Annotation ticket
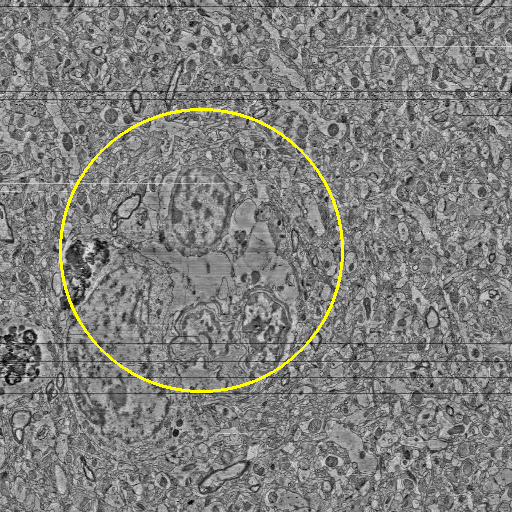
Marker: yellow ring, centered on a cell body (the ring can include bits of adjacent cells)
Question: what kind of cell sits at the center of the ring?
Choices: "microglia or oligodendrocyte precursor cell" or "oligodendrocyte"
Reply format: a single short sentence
The ring is centered on an oligodendrocyte.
